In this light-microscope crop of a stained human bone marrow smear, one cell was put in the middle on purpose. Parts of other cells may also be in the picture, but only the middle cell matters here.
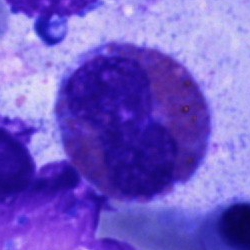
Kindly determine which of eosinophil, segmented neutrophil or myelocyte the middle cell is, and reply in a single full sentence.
The cell under consideration, at the middle of the crop, is an eosinophil.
